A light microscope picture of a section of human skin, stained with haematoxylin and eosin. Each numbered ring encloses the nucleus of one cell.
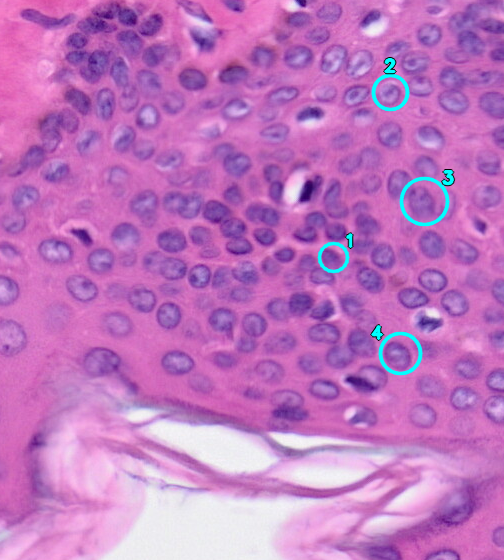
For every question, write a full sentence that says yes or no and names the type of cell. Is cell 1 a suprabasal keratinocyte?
No, at number 1 sits a basal keratinocyte, not a suprabasal keratinocyte.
